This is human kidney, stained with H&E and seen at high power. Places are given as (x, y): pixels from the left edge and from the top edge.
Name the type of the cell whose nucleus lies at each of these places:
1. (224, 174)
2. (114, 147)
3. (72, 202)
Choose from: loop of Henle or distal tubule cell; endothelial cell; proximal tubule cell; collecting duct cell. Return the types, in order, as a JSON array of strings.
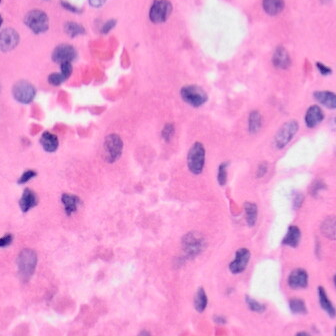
["endothelial cell", "proximal tubule cell", "proximal tubule cell"]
